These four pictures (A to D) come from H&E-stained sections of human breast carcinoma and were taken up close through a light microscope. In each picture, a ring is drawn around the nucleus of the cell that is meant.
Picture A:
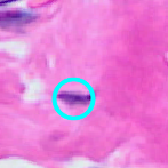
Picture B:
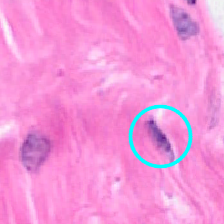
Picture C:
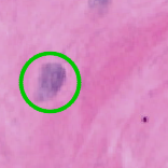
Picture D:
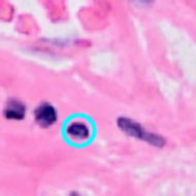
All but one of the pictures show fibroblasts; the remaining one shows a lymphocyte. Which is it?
D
